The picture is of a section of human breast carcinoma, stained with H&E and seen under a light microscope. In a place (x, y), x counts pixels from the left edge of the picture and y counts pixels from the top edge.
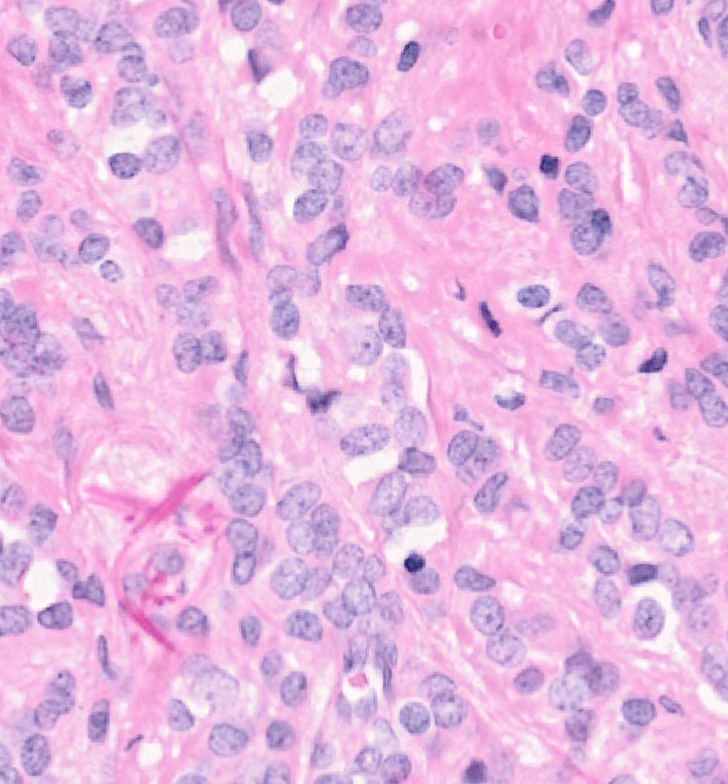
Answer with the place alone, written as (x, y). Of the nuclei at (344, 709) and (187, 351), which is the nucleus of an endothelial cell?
(344, 709)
